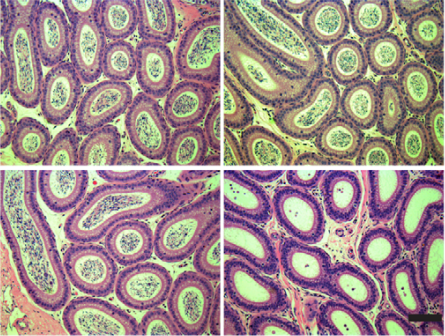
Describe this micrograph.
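These are cross-sections of the ducts of the epididymis. Each duct is lined by a tall columnar epithelium with purple nuclei near the base, and loose connective tissue lies between the ducts. In most images, the lumens are packed with sperm. In one image, many lumens are pale and hold few sperm.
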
